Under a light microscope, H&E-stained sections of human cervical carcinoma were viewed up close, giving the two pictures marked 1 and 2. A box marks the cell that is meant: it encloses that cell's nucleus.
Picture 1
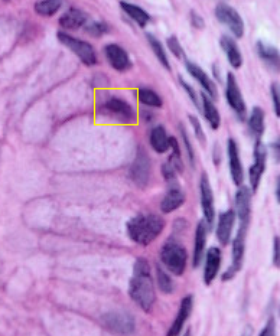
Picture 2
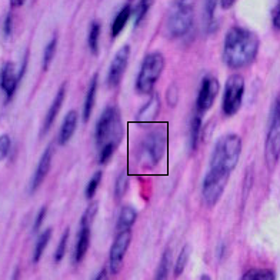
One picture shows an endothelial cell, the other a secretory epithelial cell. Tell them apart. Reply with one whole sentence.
Picture 1 shows a secretory epithelial cell and picture 2 shows an endothelial cell.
